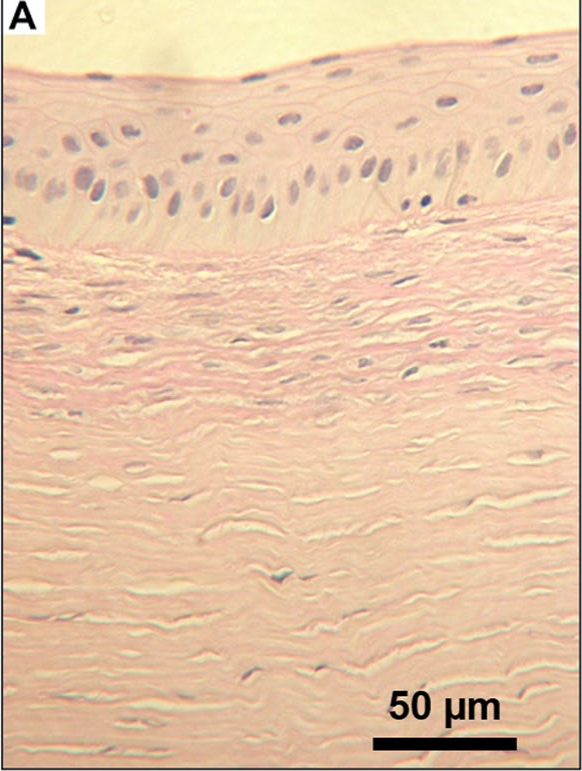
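Along the top lies a stratified epithelium of several cell layers, with taller, crowded oval nuclei at the base and flatter cells toward the surface. Beneath it there is no smooth, distinct boundary layer; instead a band of wavy, densely packed fibres rich in elongated spindle-shaped nuclei lies directly under the epithelium. Deeper down the stroma is quieter, made of regular pale pink lamellae with only sparse flattened nuclei between them. This reads as corneal epithelium over a cellular subepithelial scar band, with a destroyed Bowman layer and unremarkable deeper stroma.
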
